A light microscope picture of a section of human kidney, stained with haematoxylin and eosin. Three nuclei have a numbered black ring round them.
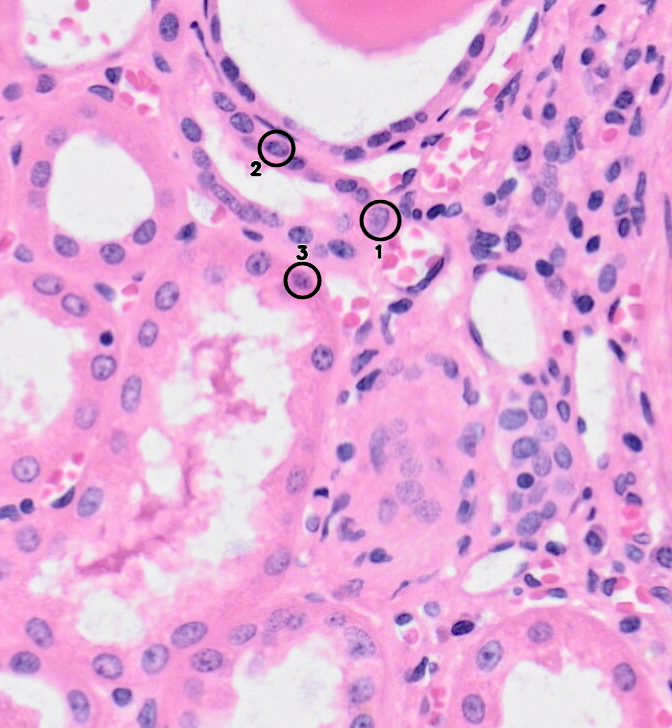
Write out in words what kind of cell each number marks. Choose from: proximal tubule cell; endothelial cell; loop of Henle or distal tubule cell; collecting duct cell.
Cell 1 is a collecting duct cell, cell 2 is a collecting duct cell and cell 3 is a proximal tubule cell.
